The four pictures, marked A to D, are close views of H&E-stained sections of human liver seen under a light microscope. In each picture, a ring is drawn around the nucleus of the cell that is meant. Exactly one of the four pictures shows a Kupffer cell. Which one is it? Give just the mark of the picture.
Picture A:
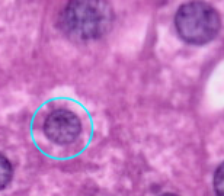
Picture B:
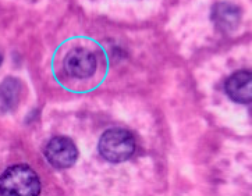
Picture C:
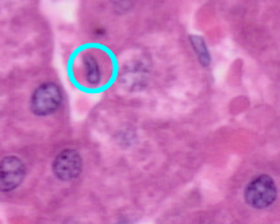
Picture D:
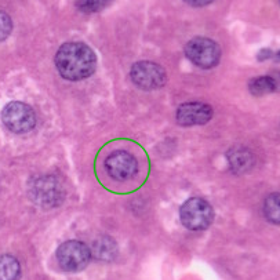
C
